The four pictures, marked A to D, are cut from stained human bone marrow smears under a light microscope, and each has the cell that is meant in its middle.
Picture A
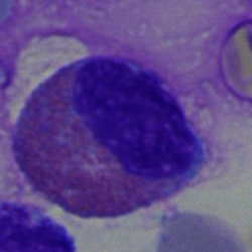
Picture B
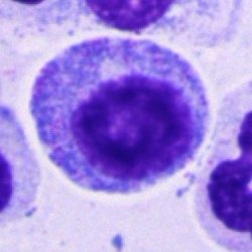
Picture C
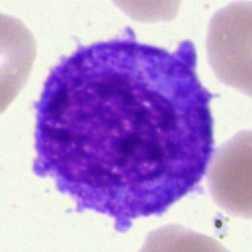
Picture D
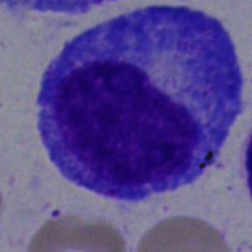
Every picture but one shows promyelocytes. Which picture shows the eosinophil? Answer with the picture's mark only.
A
